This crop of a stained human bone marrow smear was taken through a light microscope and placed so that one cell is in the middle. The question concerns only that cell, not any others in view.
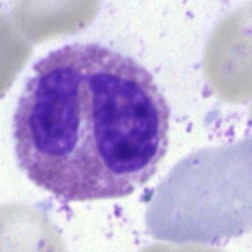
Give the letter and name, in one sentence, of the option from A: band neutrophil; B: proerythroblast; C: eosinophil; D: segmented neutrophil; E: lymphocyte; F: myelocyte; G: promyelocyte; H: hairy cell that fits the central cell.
In the middle of the crop is an eosinophil; option C is therefore correct.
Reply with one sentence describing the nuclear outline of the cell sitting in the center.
The nuclear outline breaks up into two or more lobes.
